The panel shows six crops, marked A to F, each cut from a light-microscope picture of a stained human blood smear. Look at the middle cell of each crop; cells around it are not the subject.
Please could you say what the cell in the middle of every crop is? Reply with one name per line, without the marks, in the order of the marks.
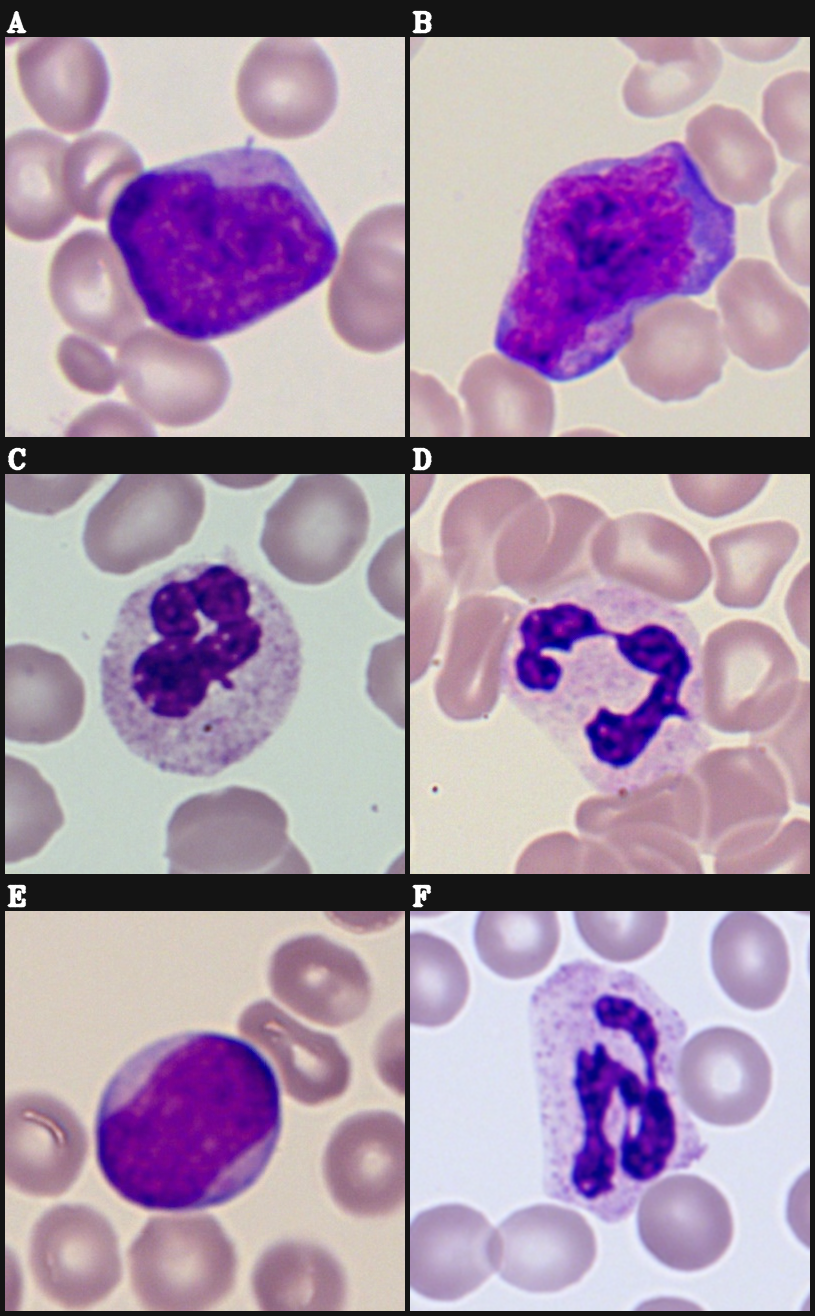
myeloblast
myeloblast
segmented neutrophil
segmented neutrophil
myeloblast
segmented neutrophil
